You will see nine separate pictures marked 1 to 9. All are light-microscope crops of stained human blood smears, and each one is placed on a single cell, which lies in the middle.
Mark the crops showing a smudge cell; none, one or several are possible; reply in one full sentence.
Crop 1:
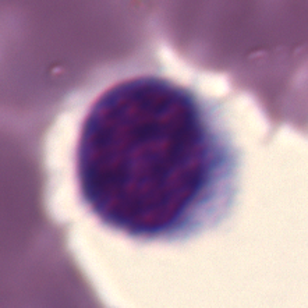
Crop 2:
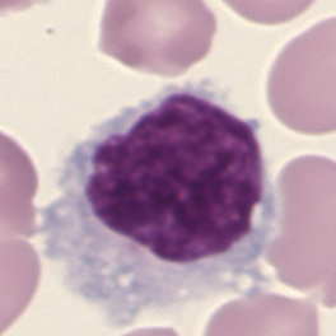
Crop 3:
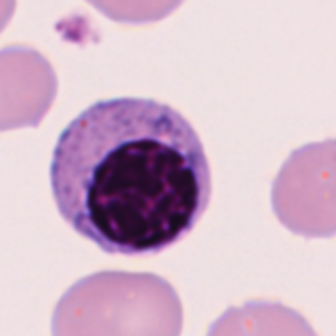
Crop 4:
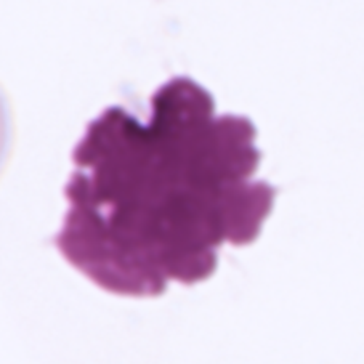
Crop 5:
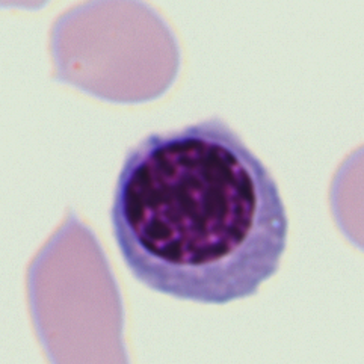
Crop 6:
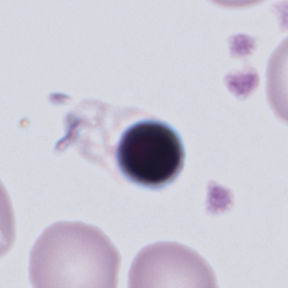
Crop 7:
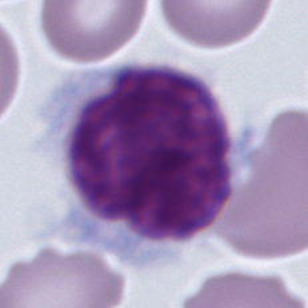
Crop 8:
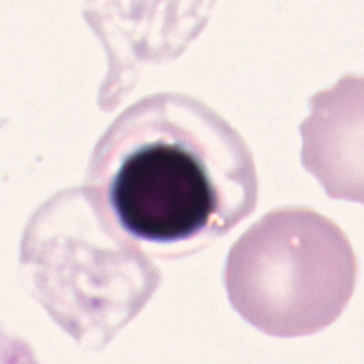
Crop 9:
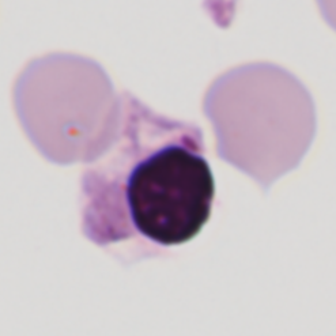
Of the crops given, a smudge cell is shown by crop 4 alone.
